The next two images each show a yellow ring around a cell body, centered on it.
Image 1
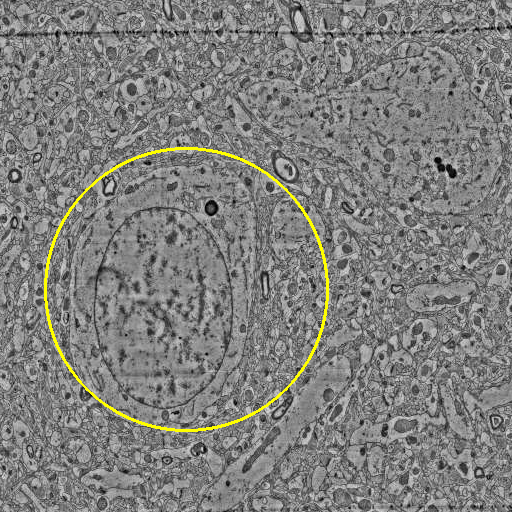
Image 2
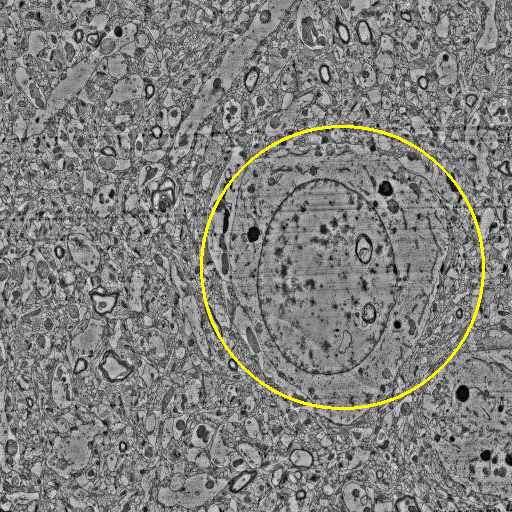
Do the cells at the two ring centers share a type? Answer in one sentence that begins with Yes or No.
Yes, across the two images the cells at the ring centers share one type.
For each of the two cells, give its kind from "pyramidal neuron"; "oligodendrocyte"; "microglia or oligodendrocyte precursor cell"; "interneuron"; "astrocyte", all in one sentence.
Each cell, in the first picture and the second, is a pyramidal neuron.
